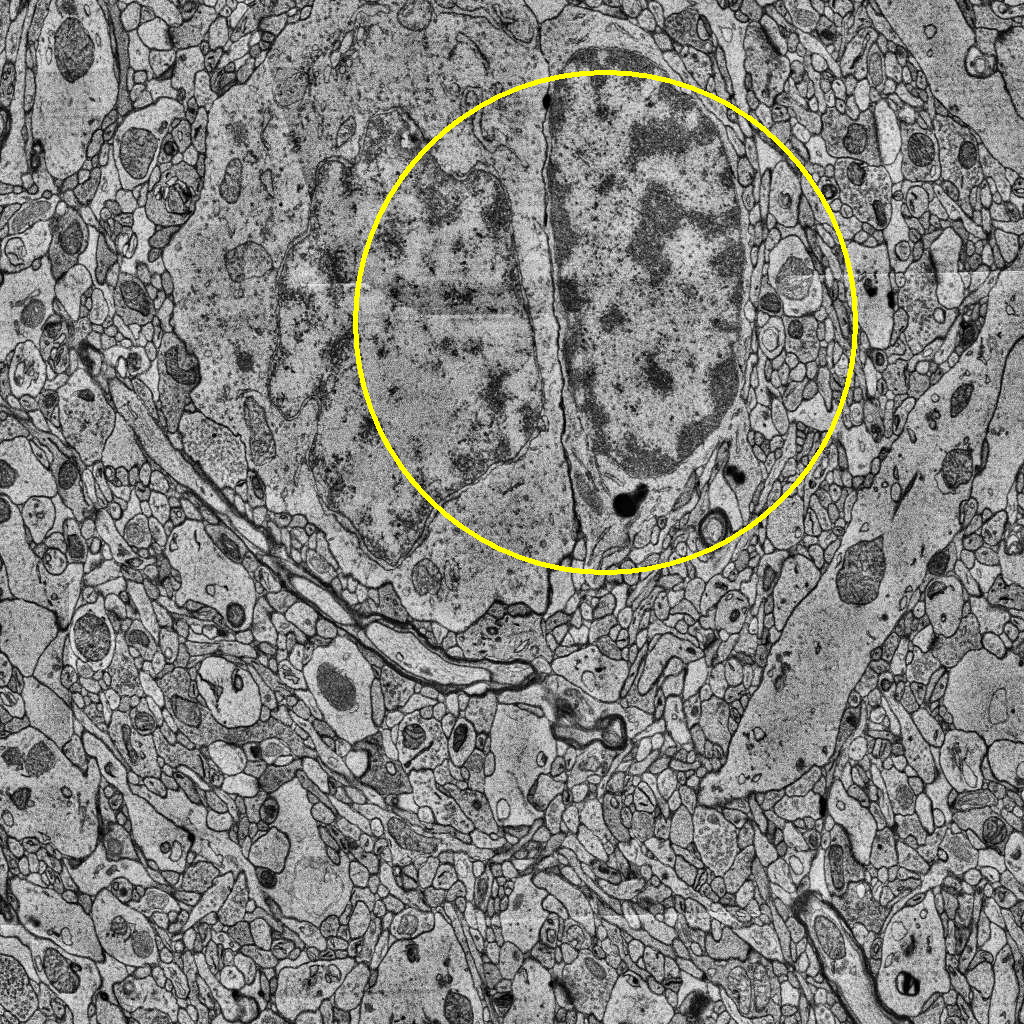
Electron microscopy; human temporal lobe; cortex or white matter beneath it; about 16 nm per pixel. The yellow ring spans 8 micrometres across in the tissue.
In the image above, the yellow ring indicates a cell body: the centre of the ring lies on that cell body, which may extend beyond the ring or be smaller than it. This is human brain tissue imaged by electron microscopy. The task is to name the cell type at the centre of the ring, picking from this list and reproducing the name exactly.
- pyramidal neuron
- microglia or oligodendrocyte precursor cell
microglia or oligodendrocyte precursor cell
